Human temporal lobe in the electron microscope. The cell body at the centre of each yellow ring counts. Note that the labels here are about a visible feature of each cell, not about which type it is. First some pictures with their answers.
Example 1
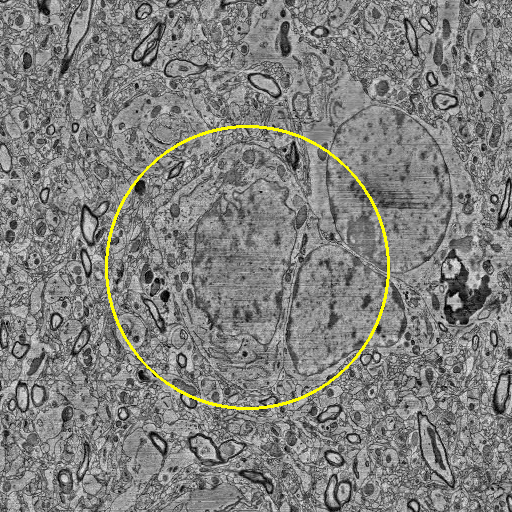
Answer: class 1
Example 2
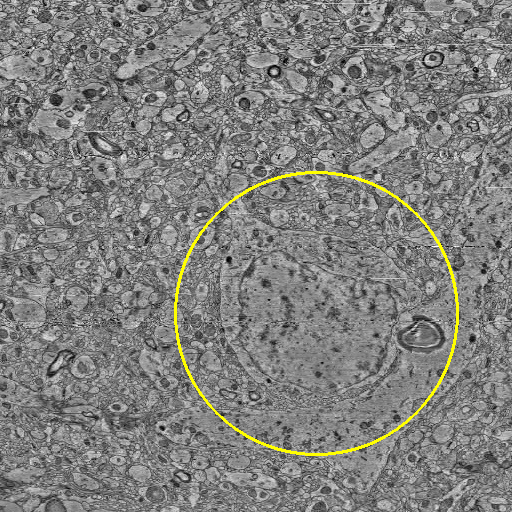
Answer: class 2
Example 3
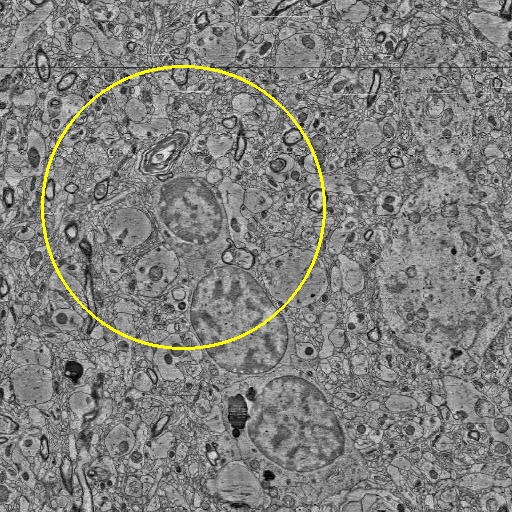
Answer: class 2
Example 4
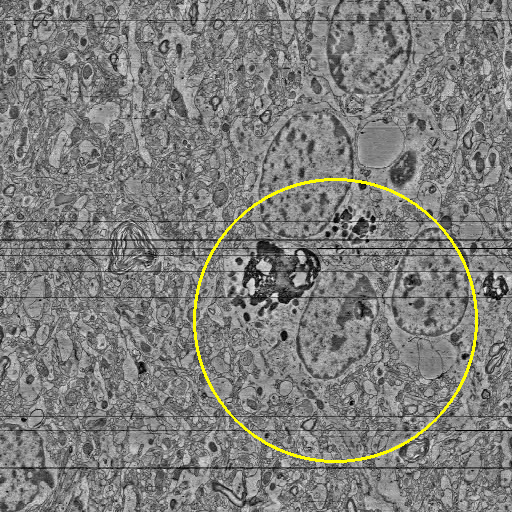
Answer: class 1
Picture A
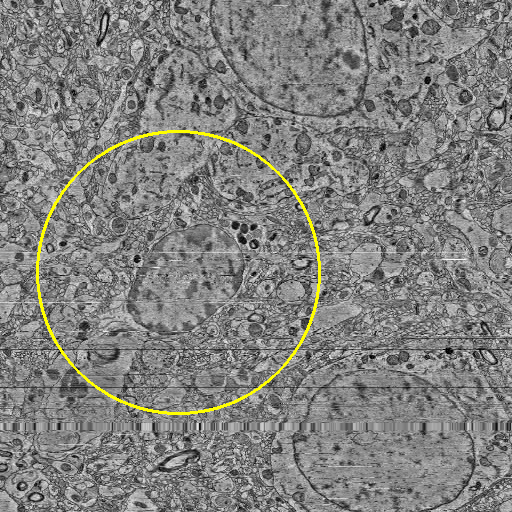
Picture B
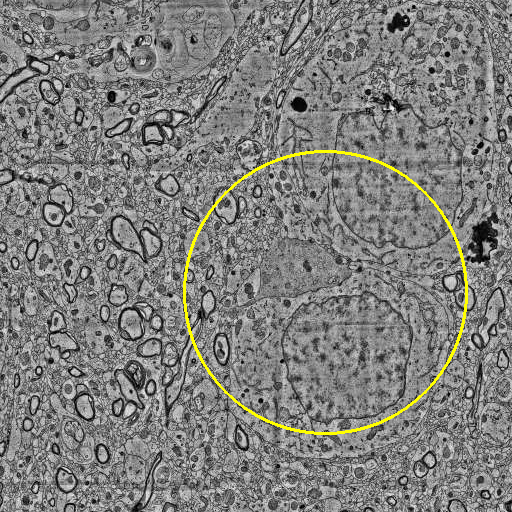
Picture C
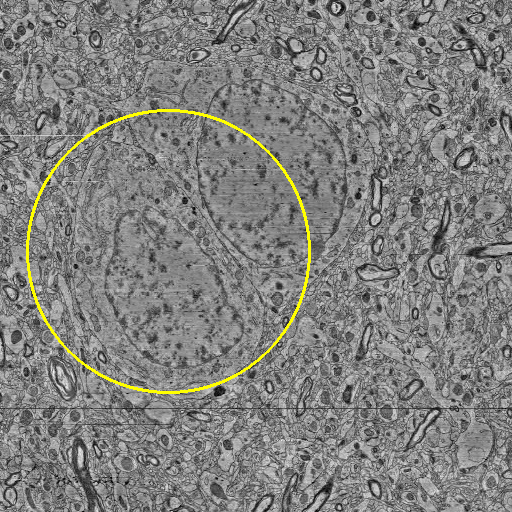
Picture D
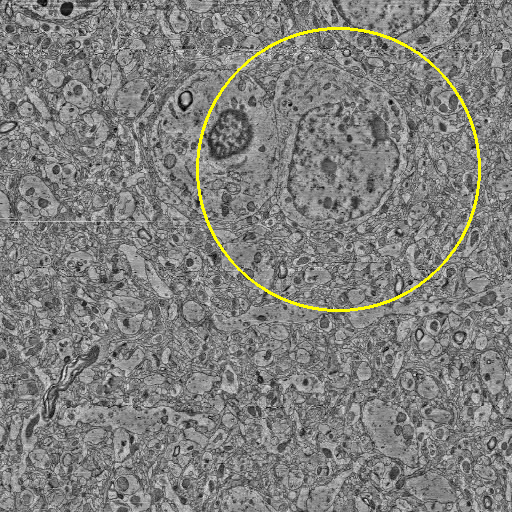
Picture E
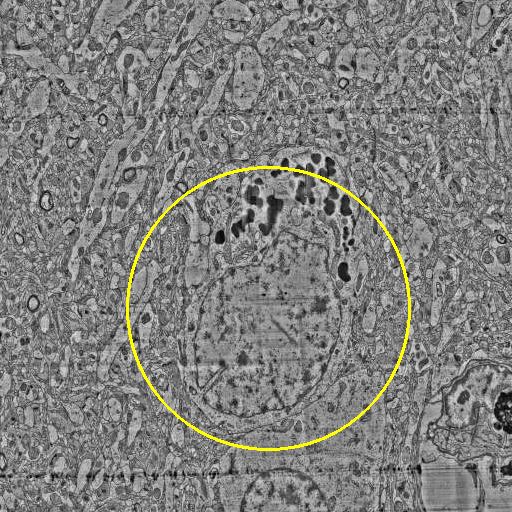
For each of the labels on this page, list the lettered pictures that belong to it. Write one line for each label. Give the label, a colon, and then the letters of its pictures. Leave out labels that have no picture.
class 1: C
class 2: A, B, D, E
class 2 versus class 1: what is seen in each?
class 2: round or nearly round nuclei; class 1: clearly elongated nuclei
